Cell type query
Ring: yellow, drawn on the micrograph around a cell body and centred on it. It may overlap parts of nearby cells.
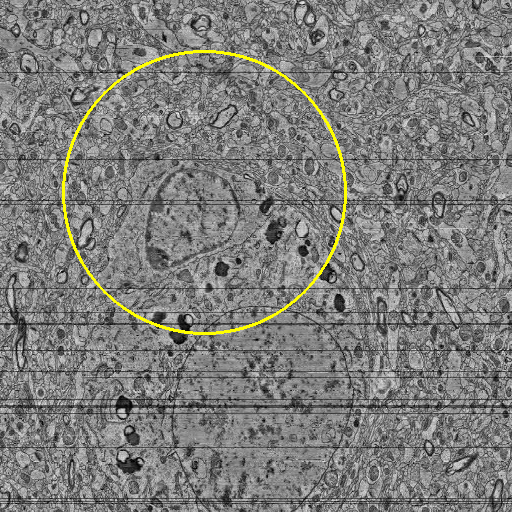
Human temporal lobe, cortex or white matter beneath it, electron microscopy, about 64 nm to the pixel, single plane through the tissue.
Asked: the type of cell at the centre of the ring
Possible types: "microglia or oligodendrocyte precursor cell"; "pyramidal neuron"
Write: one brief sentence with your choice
The ring marks a microglial cell or oligodendrocyte precursor cell.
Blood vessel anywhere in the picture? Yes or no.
No, no blood vessel can be seen.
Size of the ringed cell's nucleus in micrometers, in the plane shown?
In this plane the nucleus measures roughly 7 by 6 micrometers.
